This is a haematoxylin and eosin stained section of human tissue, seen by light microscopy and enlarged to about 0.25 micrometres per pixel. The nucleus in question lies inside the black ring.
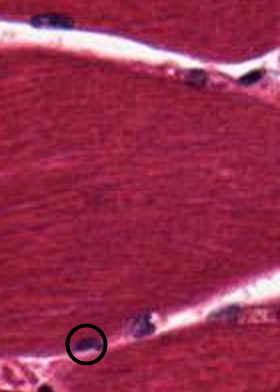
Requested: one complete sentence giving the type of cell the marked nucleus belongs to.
As shown here, the nucleus that is marked is that of a skeletal muscle fibre.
